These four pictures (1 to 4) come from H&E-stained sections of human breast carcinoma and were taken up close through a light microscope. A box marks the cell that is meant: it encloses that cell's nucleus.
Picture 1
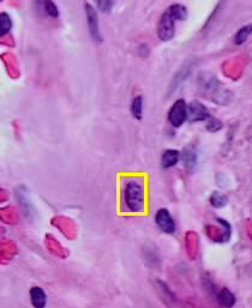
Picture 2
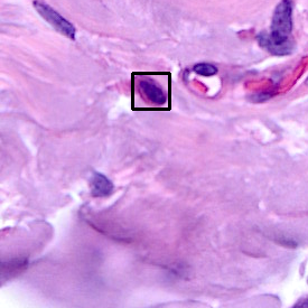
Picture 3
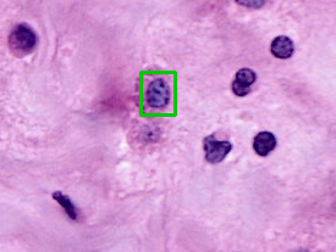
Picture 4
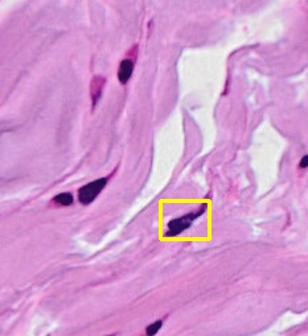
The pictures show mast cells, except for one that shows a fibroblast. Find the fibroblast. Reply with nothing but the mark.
4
